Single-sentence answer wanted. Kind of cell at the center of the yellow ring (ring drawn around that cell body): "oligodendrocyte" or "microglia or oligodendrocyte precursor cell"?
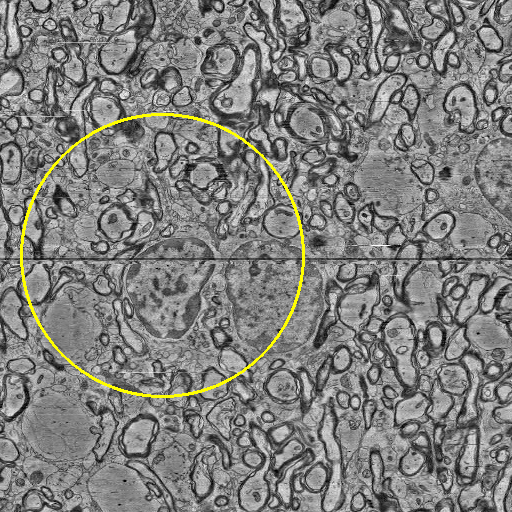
The cell centered in the ring is a microglial cell or oligodendrocyte precursor cell.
